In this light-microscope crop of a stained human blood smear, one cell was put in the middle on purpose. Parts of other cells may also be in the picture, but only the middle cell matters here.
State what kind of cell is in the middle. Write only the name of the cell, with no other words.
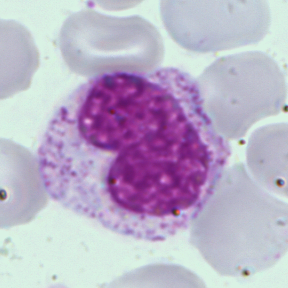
band neutrophil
